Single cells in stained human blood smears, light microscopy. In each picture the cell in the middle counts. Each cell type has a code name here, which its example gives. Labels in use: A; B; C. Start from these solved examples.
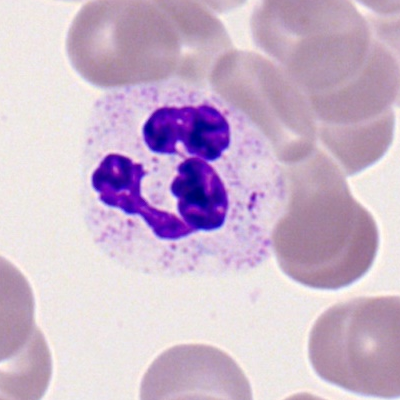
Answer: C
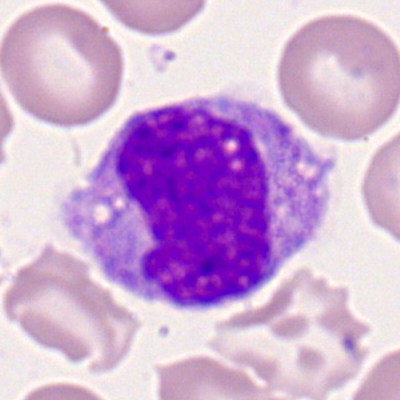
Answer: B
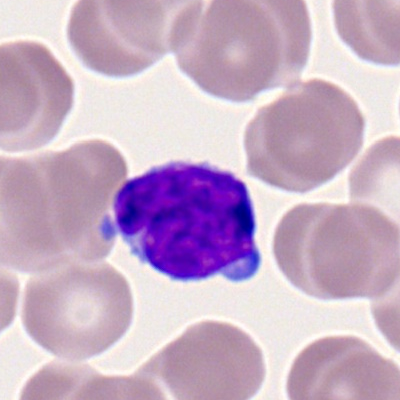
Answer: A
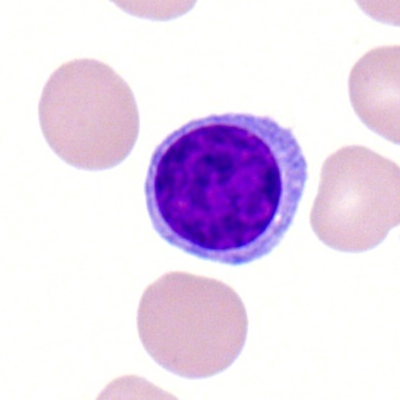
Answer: A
